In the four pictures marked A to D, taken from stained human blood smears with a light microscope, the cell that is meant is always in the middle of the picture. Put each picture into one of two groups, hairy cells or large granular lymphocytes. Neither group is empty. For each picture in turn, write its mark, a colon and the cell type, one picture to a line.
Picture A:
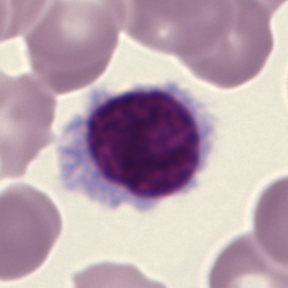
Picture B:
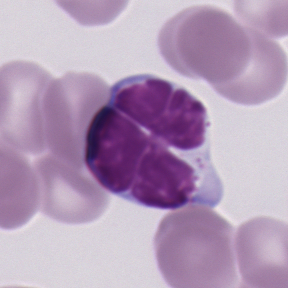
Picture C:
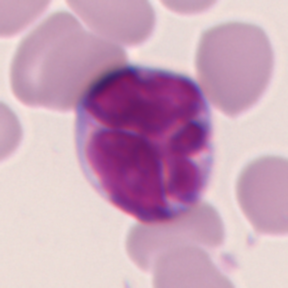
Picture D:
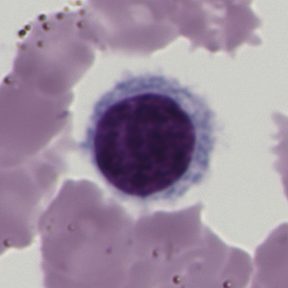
A: hairy cell
B: large granular lymphocyte
C: large granular lymphocyte
D: hairy cell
